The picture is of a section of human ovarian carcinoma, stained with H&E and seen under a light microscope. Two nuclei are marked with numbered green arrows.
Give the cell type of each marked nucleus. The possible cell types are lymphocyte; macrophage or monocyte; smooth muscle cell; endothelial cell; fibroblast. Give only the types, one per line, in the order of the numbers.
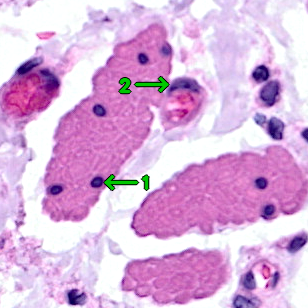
smooth muscle cell
endothelial cell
